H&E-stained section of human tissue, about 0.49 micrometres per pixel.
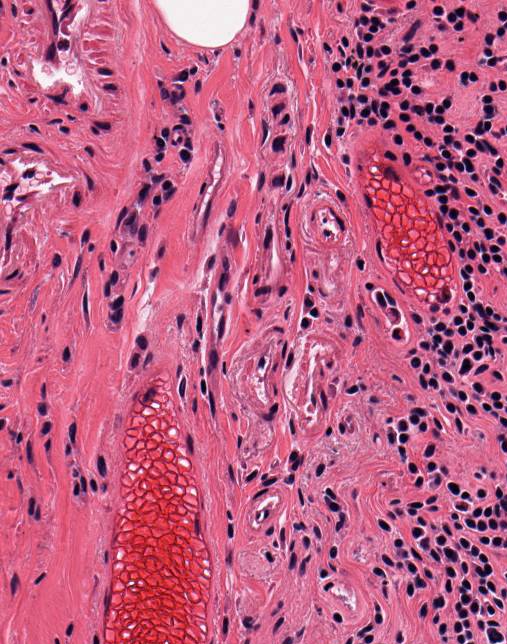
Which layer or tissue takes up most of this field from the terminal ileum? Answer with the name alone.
dense connective tissue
